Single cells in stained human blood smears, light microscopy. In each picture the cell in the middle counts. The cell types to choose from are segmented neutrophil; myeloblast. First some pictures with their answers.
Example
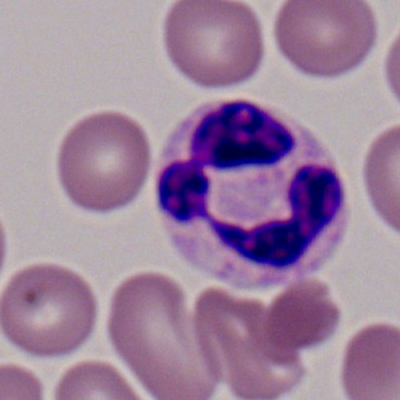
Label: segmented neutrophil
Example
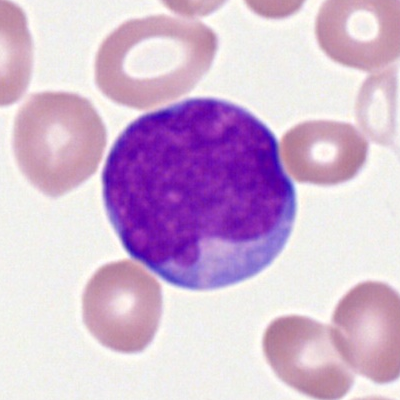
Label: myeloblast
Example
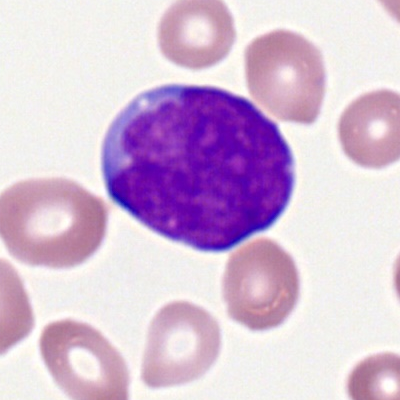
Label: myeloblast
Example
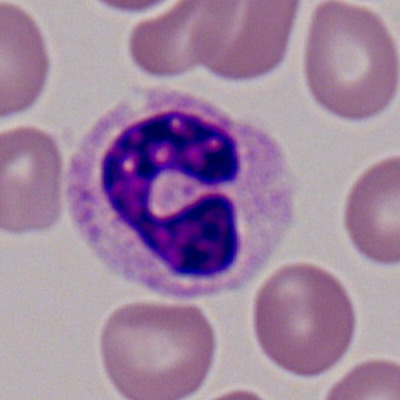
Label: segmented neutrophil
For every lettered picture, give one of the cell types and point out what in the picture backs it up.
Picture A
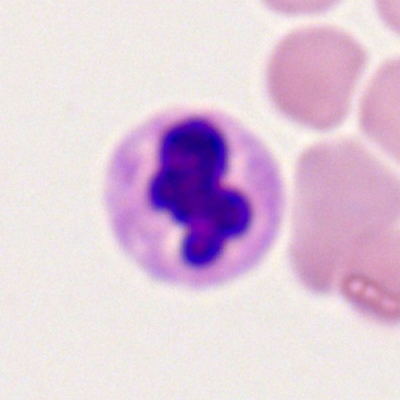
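segmented neutrophil. The nucleus is divided into several lobes joined together.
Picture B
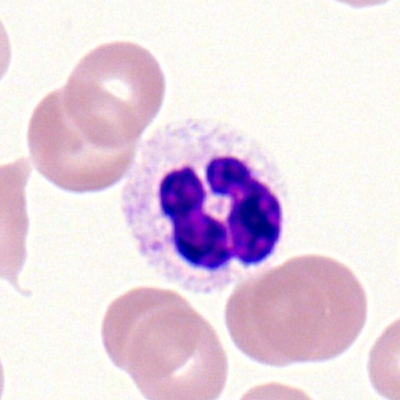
segmented neutrophil. The cytoplasm is pale pink-lilac rather than blue.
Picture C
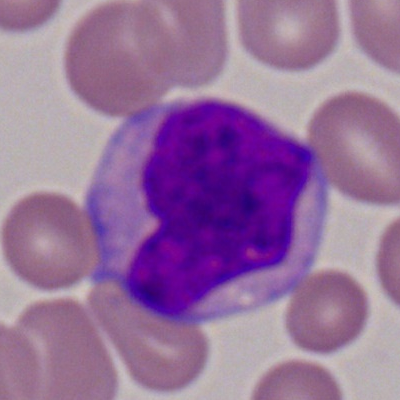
myeloblast. The nucleus fills most of the cell and sits toward the right side.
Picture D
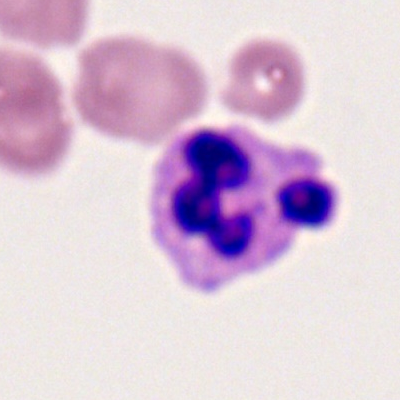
segmented neutrophil. The nucleus is divided into several separate lobes.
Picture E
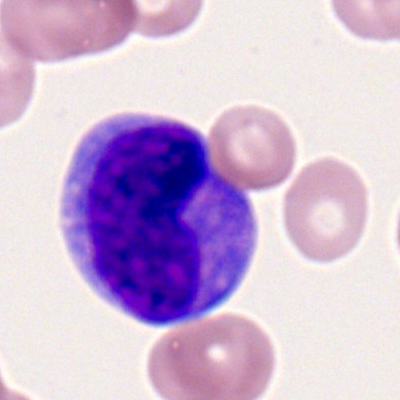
myeloblast. The nucleus fills most of the cell.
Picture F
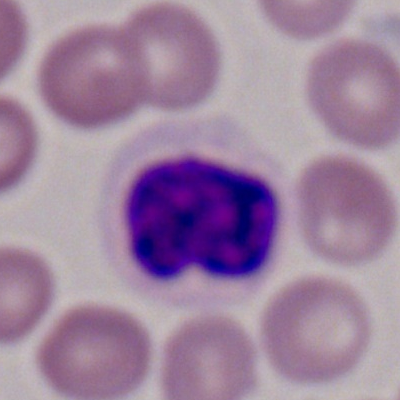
segmented neutrophil. The cytoplasm is very pale, nearly colourless.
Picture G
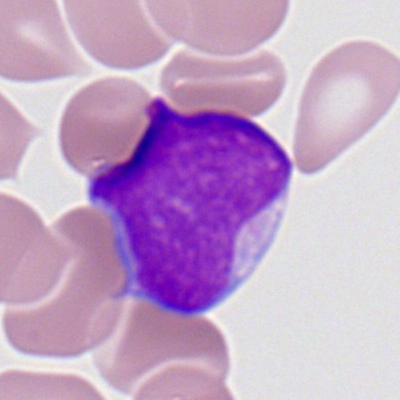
myeloblast. The nucleus fills most of the cell.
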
